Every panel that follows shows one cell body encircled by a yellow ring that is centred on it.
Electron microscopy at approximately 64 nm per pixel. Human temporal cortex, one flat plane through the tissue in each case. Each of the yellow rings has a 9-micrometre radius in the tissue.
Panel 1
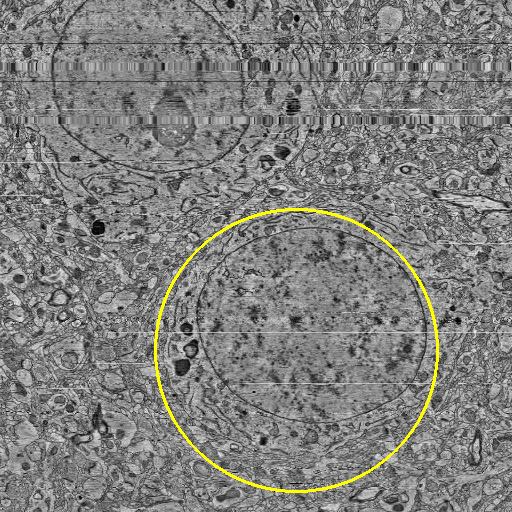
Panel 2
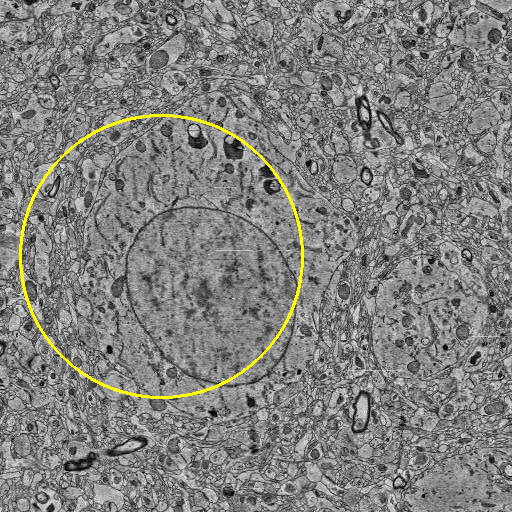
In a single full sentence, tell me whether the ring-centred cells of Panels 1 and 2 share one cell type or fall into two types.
In Panel 1 and Panel 2, the cells at the ring centres share one cell type.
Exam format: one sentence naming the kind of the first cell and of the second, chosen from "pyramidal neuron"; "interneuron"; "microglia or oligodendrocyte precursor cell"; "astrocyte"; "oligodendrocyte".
In the first picture and in the second, the ring is centred on a pyramidal neuron.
